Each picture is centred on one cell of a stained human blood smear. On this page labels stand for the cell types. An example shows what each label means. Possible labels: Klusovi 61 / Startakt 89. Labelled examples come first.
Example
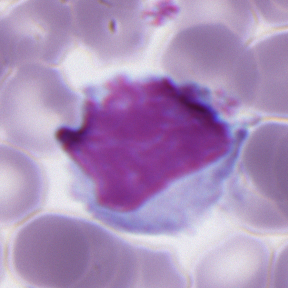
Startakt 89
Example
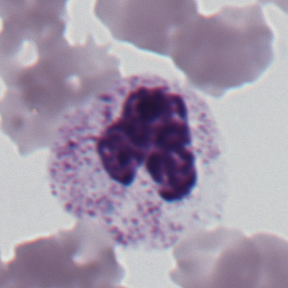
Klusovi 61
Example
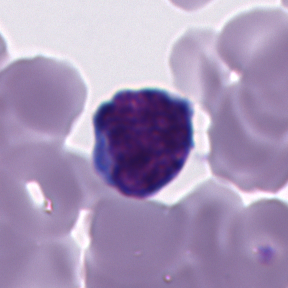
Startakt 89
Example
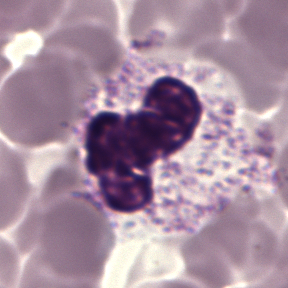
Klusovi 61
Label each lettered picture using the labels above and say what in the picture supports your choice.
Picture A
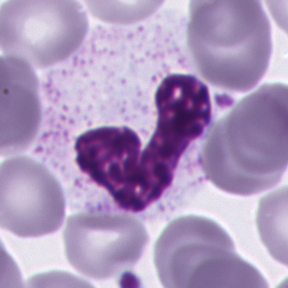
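Answer: Klusovi 61. The cytoplasm is abundant and very pale, widest on the upper-left side.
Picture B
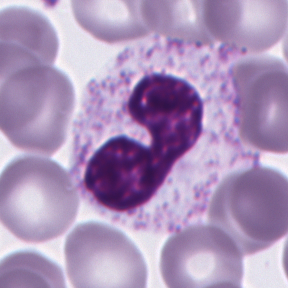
Answer: Klusovi 61. The cytoplasm is abundant and very pale pinkish-lilac.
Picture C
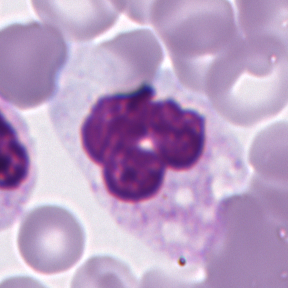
Answer: Klusovi 61. The cytoplasm is abundant and pale lilac.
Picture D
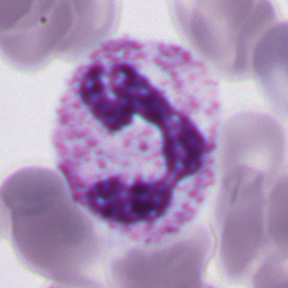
Answer: Klusovi 61. Granular cytoplasm is plentiful, forming a wide zone around the nucleus and filling the space between its lobes.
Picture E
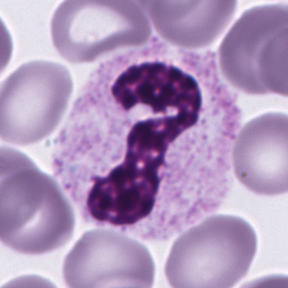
Answer: Klusovi 61. The cytoplasm is abundant and pale pink.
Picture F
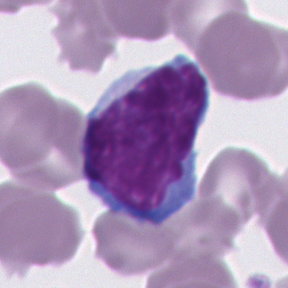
Answer: Startakt 89. The cytoplasm is blue.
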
